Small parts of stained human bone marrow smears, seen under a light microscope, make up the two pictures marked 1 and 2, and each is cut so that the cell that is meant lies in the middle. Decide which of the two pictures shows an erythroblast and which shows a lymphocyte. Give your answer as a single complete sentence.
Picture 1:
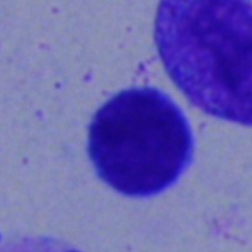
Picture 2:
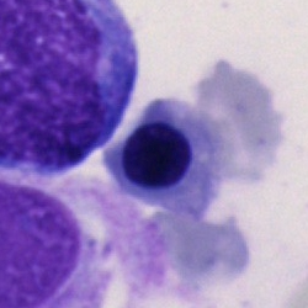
It is picture 1 that shows a lymphocyte, and picture 2 that shows an erythroblast.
